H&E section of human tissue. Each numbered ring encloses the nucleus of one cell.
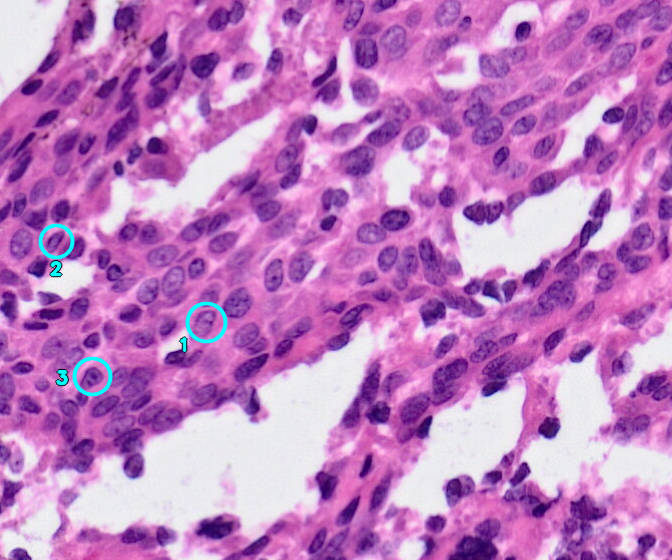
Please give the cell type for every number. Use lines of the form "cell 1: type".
cell 1: carcinoma cell
cell 2: macrophage or monocyte
cell 3: macrophage or monocyte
